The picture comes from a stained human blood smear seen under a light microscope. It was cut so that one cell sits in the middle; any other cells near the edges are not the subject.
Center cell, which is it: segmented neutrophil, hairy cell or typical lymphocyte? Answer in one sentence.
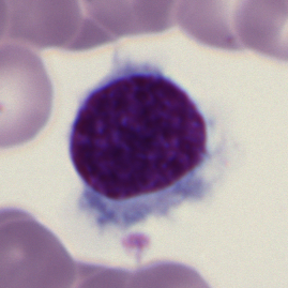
The cell at the heart of this crop is a hairy cell.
